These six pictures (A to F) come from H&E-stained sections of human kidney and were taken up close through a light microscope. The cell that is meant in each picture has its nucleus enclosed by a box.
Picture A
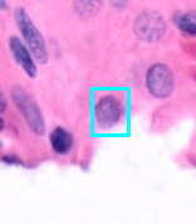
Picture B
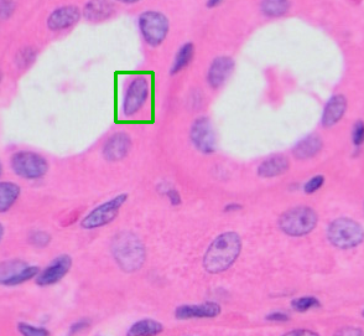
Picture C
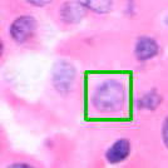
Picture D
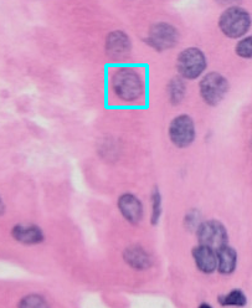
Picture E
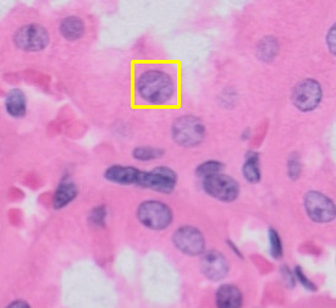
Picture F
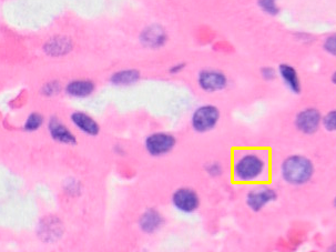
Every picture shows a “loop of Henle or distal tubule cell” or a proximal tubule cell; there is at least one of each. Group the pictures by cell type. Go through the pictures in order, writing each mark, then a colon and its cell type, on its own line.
A: loop of Henle or distal tubule cell
B: loop of Henle or distal tubule cell
C: loop of Henle or distal tubule cell
D: proximal tubule cell
E: proximal tubule cell
F: loop of Henle or distal tubule cell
